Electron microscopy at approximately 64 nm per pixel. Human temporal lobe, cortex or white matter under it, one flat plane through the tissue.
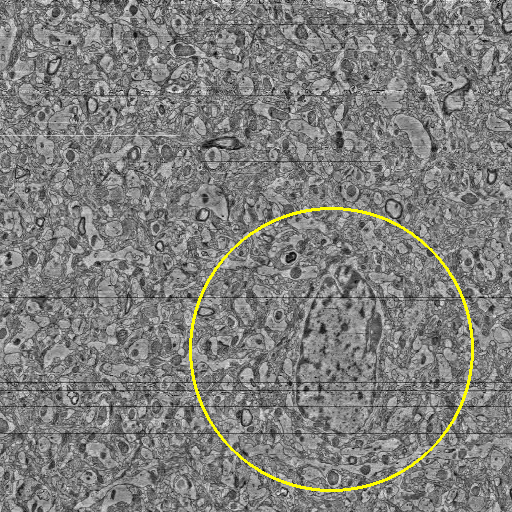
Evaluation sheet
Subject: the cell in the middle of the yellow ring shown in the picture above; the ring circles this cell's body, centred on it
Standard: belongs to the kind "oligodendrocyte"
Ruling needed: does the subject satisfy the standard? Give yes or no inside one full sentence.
No, the cell in the middle of the ring in the picture above belongs to some other kind.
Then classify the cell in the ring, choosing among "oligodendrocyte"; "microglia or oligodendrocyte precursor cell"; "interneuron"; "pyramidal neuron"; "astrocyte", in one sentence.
What the ring encloses here is a microglial cell or oligodendrocyte precursor cell.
